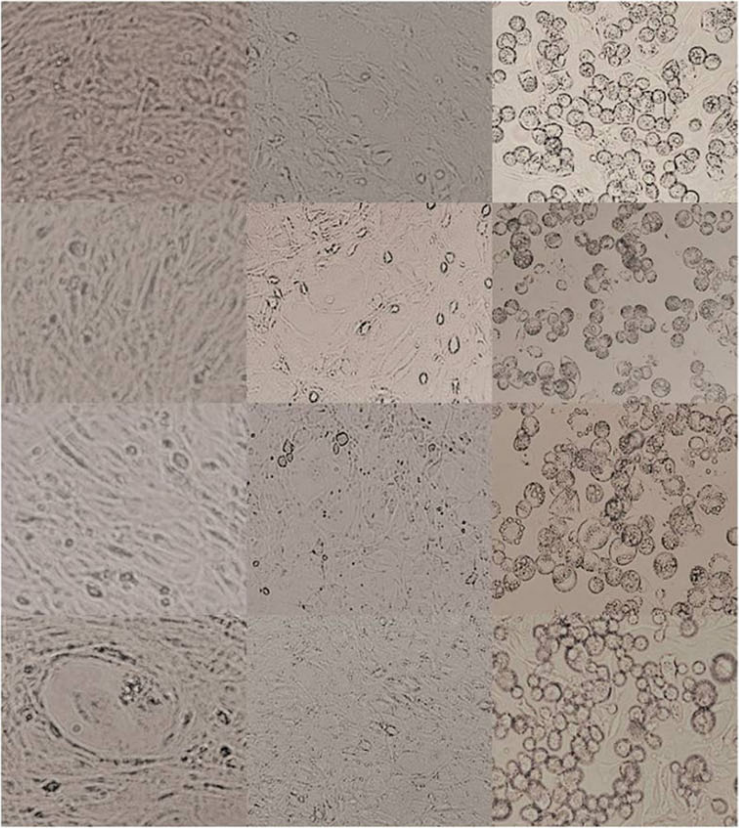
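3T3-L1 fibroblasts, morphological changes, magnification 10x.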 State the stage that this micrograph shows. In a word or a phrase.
Adipogenesis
